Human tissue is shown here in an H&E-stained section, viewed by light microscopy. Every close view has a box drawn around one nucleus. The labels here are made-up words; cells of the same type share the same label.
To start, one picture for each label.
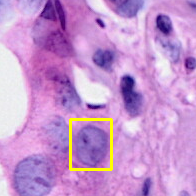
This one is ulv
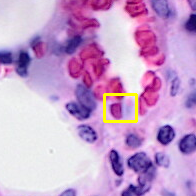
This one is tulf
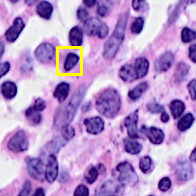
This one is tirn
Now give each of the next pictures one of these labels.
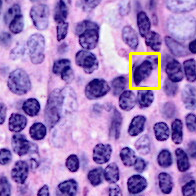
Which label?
tirn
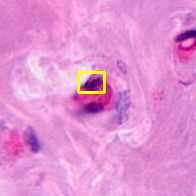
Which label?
tulf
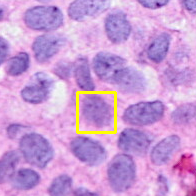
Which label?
ulv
